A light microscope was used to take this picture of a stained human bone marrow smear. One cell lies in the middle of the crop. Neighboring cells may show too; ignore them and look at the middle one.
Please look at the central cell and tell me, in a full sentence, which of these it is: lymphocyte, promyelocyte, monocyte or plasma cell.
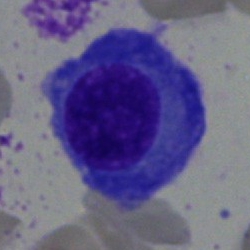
The identification for the central cell is a plasma cell.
